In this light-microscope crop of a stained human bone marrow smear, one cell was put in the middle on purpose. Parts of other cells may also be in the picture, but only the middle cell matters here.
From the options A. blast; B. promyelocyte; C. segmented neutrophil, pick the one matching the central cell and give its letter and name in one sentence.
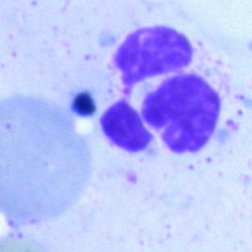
The cell positioned centrally is a segmented neutrophil, as given in option C, which is correct.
